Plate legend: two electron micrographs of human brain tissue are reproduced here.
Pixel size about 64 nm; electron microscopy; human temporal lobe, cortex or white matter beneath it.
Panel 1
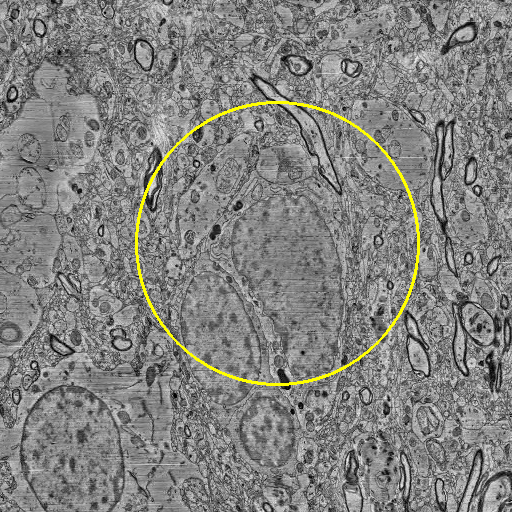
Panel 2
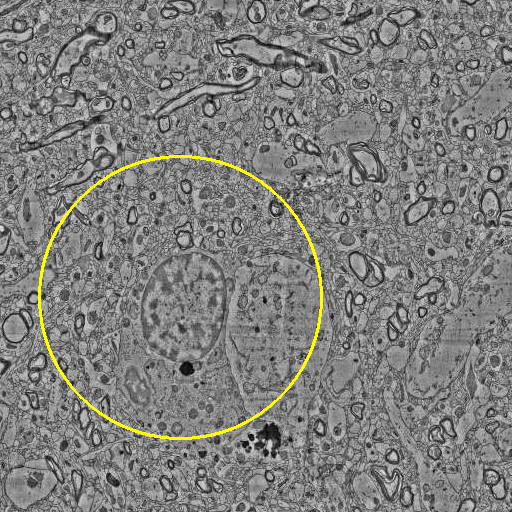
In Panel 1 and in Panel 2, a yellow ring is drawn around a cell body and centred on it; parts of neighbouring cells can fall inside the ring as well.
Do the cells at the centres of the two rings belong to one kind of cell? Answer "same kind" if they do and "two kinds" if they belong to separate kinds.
two kinds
